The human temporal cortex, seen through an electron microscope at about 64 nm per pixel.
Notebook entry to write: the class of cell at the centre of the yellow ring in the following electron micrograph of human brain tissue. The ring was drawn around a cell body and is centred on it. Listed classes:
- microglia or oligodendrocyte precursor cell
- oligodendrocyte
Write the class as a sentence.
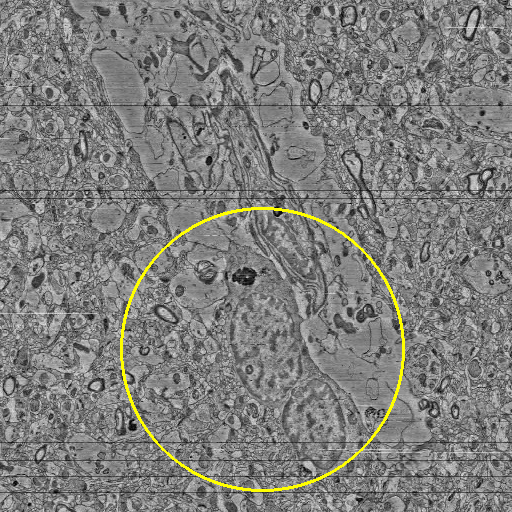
The yellow ring sits on an oligodendrocyte.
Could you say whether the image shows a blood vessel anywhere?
Yes.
